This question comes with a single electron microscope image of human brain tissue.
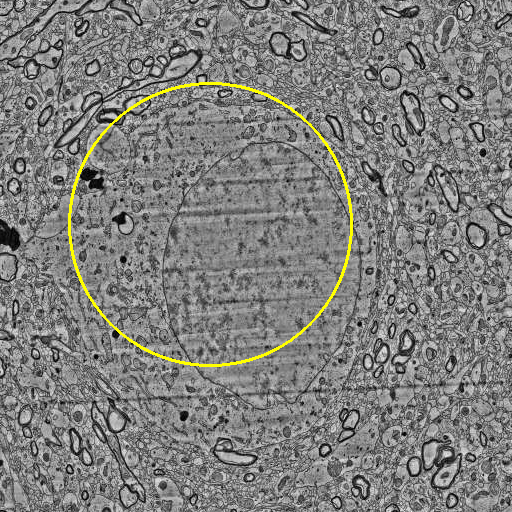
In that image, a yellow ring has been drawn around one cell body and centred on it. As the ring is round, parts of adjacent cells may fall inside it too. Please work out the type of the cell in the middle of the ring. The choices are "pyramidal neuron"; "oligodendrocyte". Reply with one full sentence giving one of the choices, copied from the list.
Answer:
Of the choices, a pyramidal neuron is the cell sitting in the middle of the ring.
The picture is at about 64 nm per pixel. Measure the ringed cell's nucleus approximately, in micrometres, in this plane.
About 17 by 13 micrometers for the nucleus, in this plane.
